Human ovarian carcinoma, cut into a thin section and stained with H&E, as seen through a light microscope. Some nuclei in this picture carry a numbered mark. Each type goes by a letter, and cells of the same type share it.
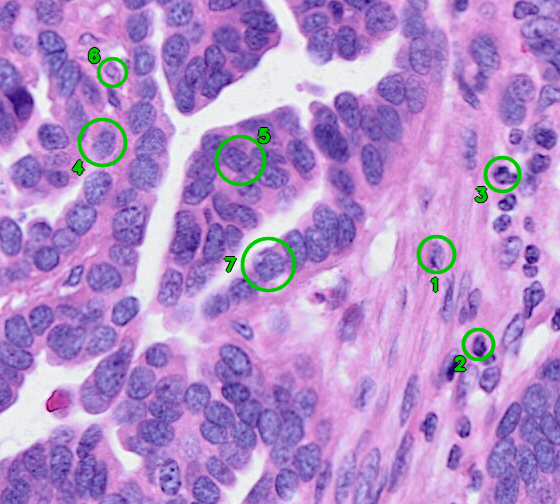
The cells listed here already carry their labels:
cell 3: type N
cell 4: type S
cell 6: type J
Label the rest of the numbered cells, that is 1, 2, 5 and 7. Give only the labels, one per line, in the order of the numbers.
type J
type N
type S
type S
